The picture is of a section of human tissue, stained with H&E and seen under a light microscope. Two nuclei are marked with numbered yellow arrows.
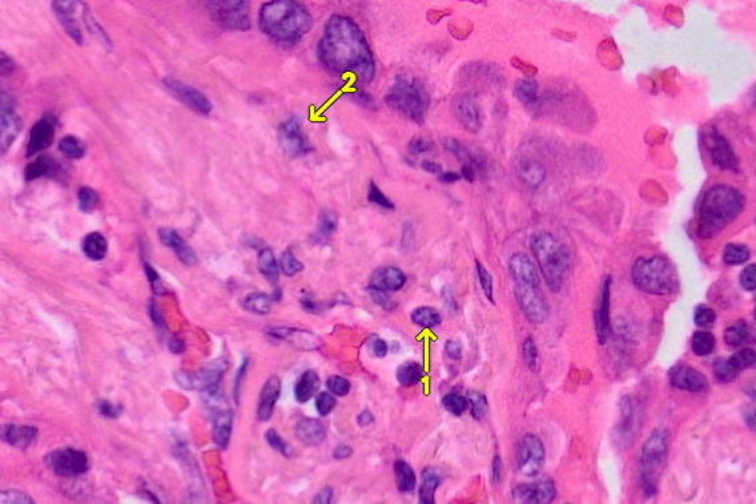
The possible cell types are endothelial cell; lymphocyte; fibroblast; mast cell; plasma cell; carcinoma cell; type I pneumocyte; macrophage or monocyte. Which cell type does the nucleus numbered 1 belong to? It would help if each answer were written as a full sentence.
The cell that goes by number 1 is a mast cell.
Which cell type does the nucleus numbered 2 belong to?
The cell pointed out by number 2 is a fibroblast.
